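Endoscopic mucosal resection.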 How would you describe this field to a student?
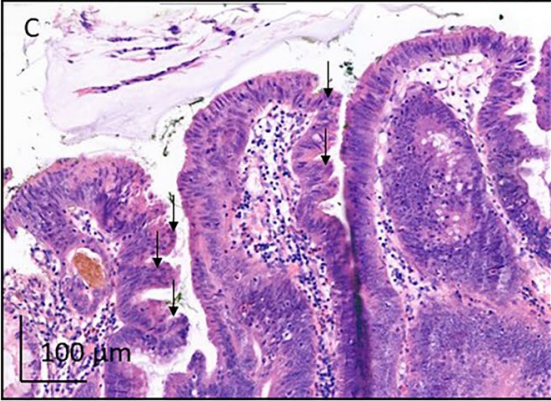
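Colonic crypt epithelium forms elongated fronds lined by tall columnar epithelial cells with pink cytoplasm and narrow, elongated, dark purple pencil-like nuclei packed side by side. The epithelial border shows small notches giving a serrated, saw-toothed outline, and the cores between the fronds hold loose pale stroma with scattered small dark round cells. Pale mucoid material with a few strands lies above the epithelium at the top left.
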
